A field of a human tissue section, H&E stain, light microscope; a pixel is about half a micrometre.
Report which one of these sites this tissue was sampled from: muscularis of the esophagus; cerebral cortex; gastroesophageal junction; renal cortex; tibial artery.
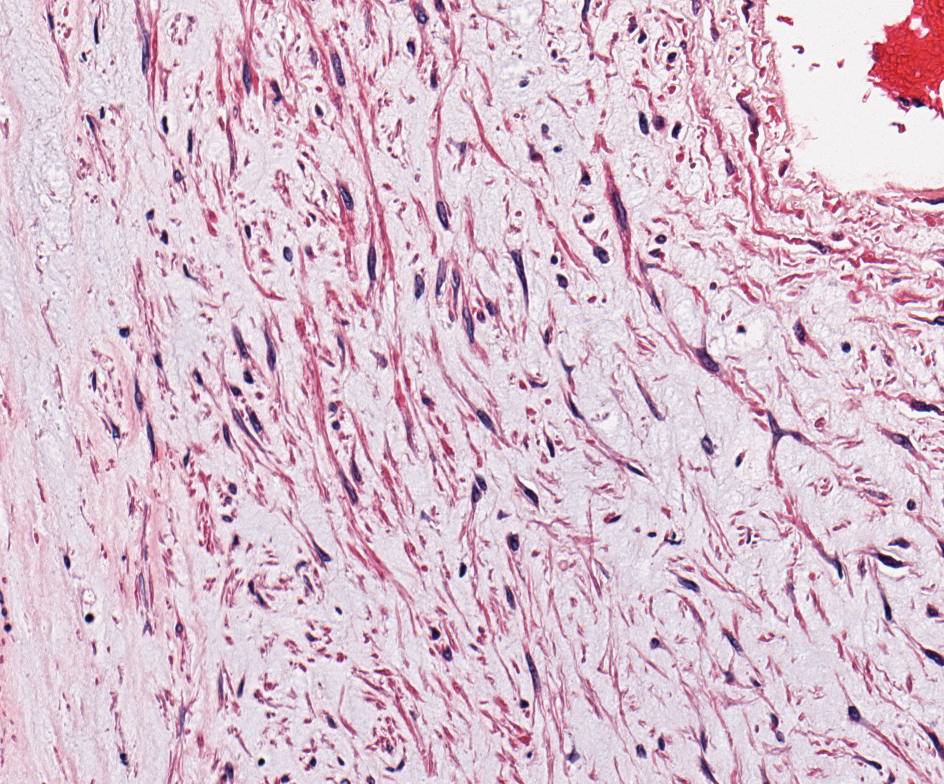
tibial artery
